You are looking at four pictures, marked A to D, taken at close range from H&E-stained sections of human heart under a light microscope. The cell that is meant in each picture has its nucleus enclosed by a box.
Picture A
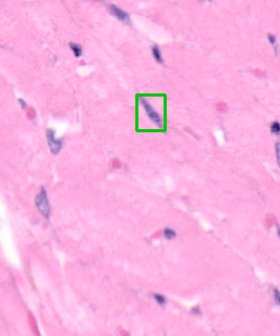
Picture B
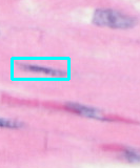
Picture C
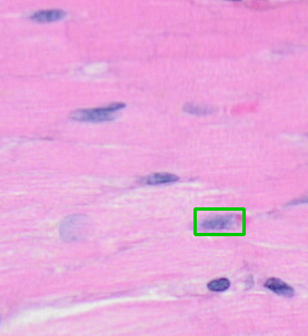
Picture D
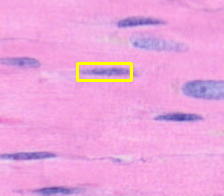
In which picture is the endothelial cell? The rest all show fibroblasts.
C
